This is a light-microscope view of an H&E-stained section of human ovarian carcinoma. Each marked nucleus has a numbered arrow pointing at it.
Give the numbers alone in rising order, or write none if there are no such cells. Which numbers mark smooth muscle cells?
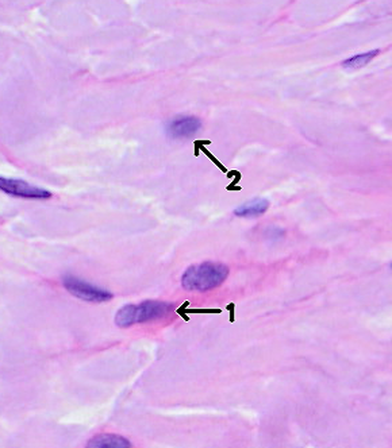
1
